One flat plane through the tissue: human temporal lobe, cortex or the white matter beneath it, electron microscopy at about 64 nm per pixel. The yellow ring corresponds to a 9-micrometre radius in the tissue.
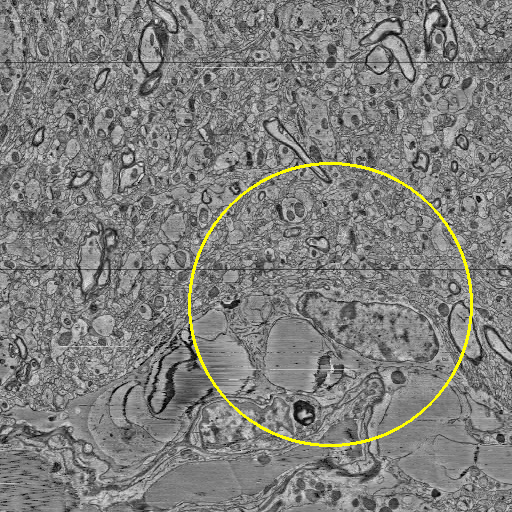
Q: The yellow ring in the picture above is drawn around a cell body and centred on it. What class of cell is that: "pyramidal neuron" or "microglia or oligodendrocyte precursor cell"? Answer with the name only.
microglia or oligodendrocyte precursor cell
